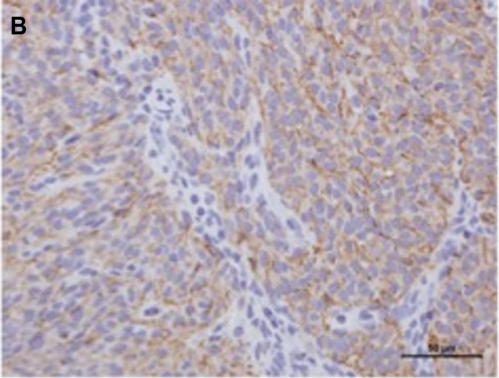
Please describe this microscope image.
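These are densely packed tumor cells with brown-stained cytoplasm of moderate intensity and blue, oval to elongated nuclei. The brown stain forms a fine network between the nuclei, outlining the cell bodies, and is stronger in some areas than in others. The cells are arranged in sheets and loose bundles. Through the field runs a branching band of stroma whose cells have pale blue nuclei and no brown staining, so it stands out as a light strip between the brownish tumor tissue on either side.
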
